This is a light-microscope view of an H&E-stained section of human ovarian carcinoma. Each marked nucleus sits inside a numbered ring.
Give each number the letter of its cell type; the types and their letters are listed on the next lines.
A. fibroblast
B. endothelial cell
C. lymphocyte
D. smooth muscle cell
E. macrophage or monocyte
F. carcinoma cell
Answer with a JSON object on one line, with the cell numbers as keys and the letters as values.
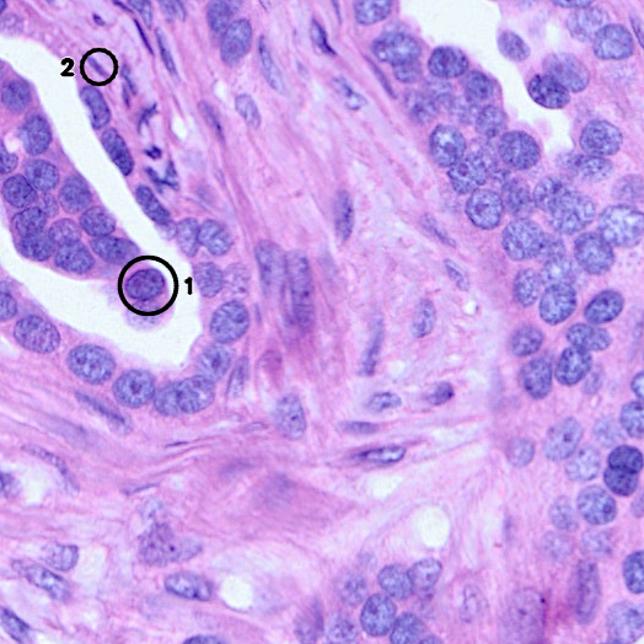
{"1": "F", "2": "A"}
